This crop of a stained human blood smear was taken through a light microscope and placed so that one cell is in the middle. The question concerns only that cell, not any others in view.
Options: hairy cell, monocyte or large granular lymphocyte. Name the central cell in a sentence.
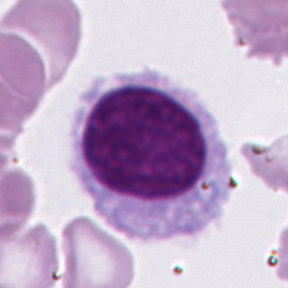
The cell in the middle of this crop is a hairy cell.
